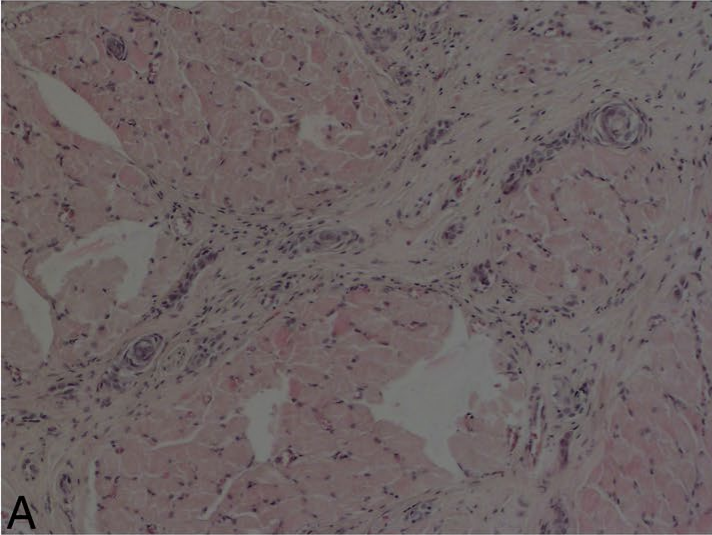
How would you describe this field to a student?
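This is skeletal muscle cut across, with a tumour growing in between its fibres. The large pink polygonal shapes are the muscle fibres, each with homogeneous eosinophilic cytoplasm and small nuclei at the edge, gathered into bundles. Between the bundles run bands of pale fibrous stroma crowded with small purple nuclei, and within them lie narrow cords and small rounded nests of epithelial cells, some with a concentric, whorled look. These bands branch and wedge between groups of fibres, splitting the muscle apart.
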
